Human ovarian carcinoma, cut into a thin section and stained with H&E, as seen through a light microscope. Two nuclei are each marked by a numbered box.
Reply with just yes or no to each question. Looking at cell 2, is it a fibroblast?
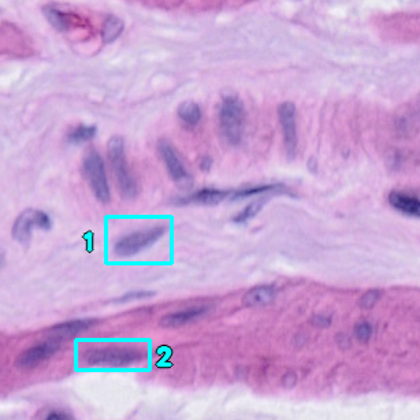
no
